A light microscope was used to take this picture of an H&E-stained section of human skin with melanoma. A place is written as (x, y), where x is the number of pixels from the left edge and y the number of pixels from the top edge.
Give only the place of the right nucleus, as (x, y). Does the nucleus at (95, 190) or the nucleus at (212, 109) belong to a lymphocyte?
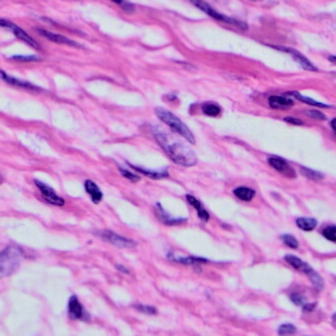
(95, 190)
